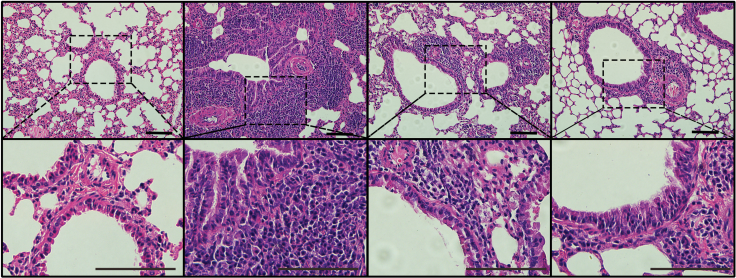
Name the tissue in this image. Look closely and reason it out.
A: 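Round airways lined by epithelium sit within the alveolar tissue.
Lung.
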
